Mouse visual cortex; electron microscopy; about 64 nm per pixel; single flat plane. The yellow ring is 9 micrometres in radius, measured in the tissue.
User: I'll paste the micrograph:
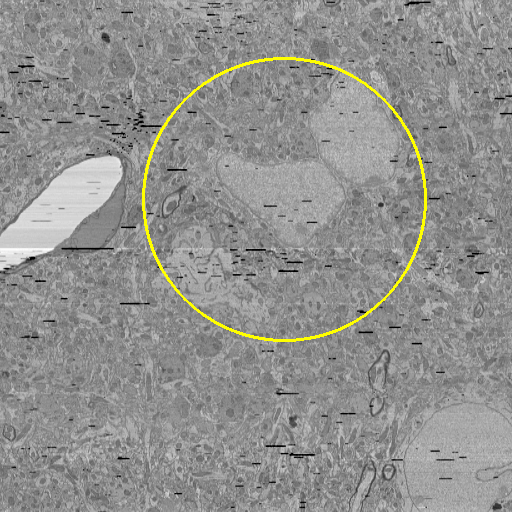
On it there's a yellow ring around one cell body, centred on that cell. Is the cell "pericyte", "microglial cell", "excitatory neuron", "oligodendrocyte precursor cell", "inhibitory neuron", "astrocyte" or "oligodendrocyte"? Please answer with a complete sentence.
The cell ringed in yellow is an astrocyte.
